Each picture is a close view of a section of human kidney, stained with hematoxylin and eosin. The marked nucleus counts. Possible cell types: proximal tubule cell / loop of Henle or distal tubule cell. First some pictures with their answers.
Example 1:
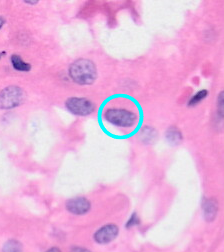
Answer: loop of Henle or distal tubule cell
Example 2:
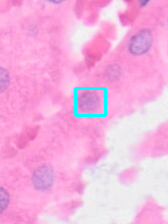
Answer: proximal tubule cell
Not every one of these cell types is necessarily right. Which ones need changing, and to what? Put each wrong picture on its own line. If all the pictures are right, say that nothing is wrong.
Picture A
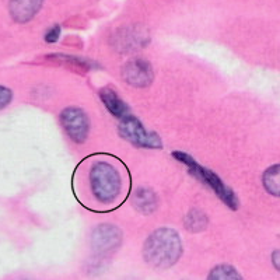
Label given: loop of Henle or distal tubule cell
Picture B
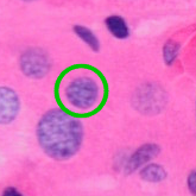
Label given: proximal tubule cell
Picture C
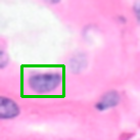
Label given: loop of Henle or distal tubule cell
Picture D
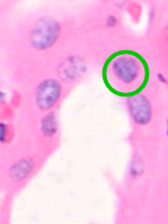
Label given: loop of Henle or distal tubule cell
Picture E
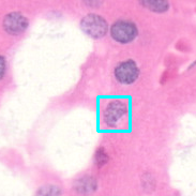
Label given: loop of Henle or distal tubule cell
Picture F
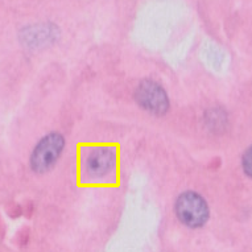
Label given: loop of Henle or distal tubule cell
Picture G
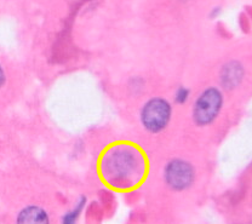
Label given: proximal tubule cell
B should be loop of Henle or distal tubule cell, not proximal tubule cell
F should be proximal tubule cell, not loop of Henle or distal tubule cell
